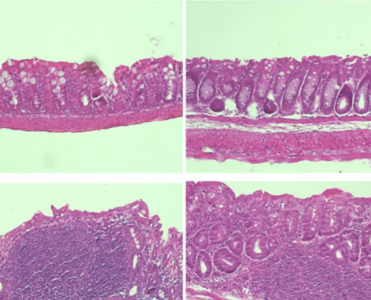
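These are sections of colonic mucosa stained pink and purple, with straight crypts lined by columnar epithelium and pale goblet cells in the upper images. The crypts around this mass are pushed aside, fewer and irregular in shape. Such a dense collection of small round cells within the mucosa reads as a heavy inflammatory infiltrate, fitting colitis.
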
